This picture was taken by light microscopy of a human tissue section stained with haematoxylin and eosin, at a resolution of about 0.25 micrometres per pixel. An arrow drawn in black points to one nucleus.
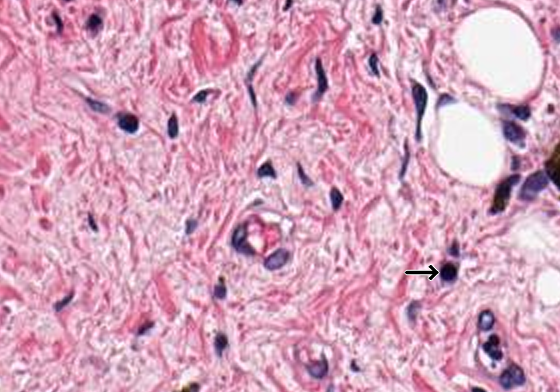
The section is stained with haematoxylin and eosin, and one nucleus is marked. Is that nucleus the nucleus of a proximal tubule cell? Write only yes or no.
no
